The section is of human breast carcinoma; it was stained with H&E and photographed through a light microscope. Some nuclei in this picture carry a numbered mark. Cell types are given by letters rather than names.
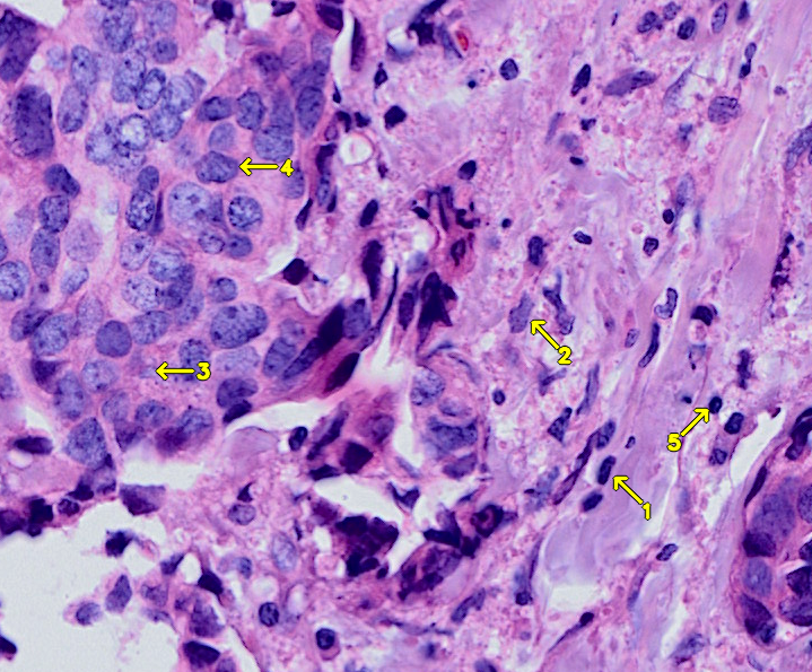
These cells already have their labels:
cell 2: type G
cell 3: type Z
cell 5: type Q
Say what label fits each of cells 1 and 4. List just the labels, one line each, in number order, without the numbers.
type Q
type Z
